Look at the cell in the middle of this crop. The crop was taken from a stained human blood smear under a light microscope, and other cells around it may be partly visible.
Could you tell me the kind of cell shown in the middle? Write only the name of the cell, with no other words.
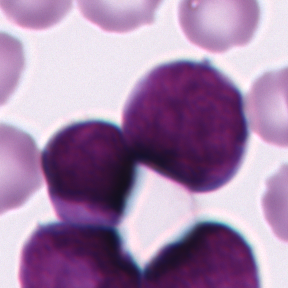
myeloblast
